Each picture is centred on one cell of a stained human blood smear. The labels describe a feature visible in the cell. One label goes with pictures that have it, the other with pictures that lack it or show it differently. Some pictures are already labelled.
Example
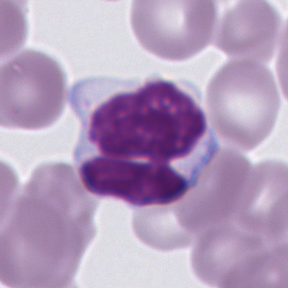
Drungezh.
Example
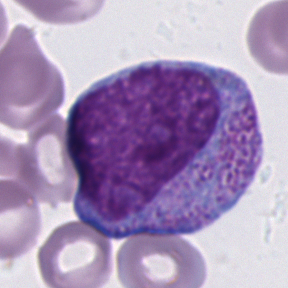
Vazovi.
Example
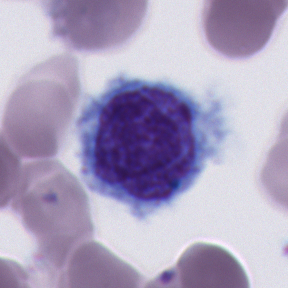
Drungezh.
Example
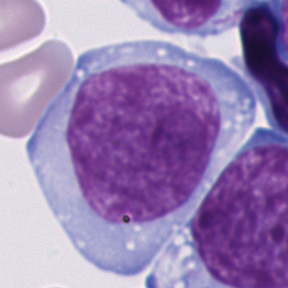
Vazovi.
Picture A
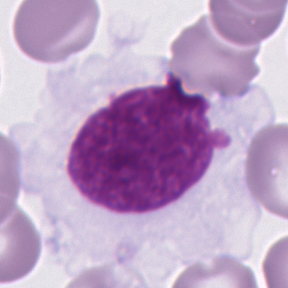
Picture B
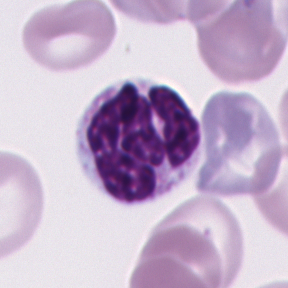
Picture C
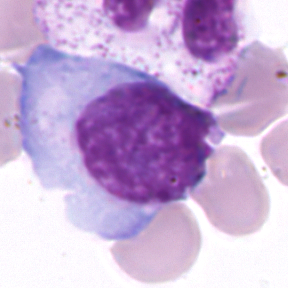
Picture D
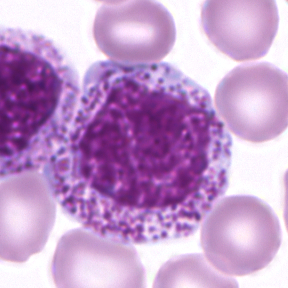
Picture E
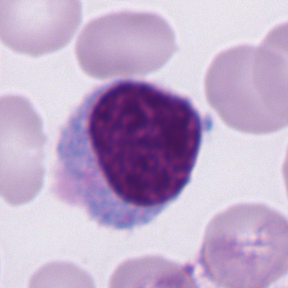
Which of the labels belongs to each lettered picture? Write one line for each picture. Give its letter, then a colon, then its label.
A: Vazovi.
B: Drungezh.
C: Vazovi.
D: Drungezh.
E: Vazovi.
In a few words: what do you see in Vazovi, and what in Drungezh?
In Vazovi: abundant cytoplasm. In Drungezh: scant cytoplasm.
